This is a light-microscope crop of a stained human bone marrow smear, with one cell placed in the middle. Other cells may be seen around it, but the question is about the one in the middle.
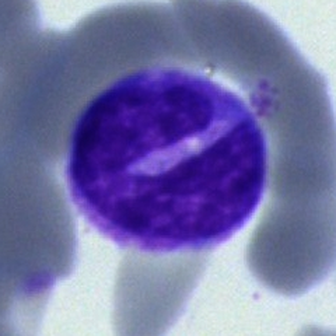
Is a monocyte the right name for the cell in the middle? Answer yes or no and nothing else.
yes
